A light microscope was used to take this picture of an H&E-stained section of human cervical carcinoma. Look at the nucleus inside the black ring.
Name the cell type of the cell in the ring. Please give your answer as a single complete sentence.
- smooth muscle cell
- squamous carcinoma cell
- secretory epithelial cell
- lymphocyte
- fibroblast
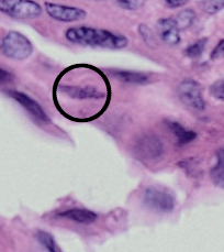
Cell type answer for this item: the cell in the ring is a squamous carcinoma cell.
